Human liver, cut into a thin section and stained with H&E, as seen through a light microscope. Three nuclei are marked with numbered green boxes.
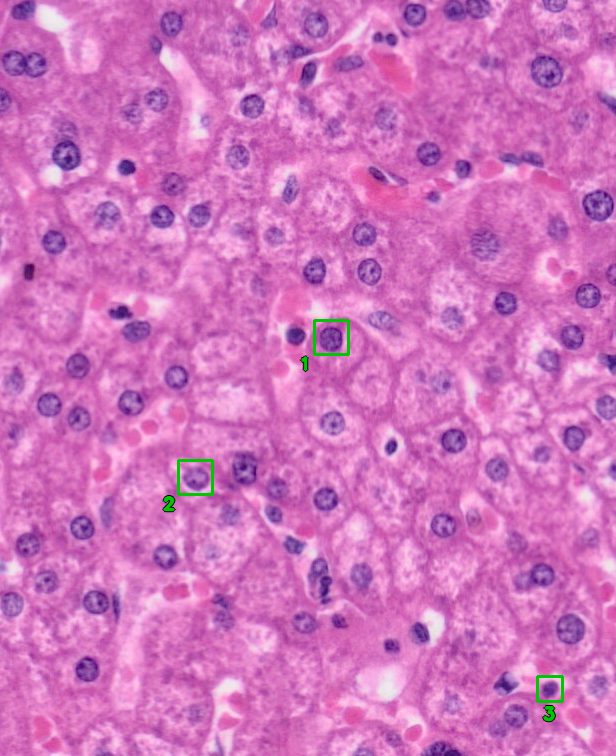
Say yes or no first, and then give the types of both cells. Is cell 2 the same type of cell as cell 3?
No, the right answer is a hepatocyte for cell 2 and a lymphocyte for cell 3.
